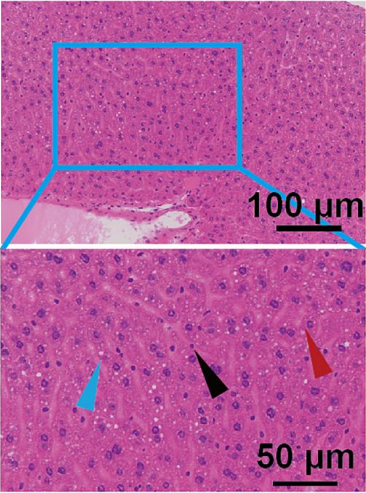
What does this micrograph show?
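Liver parenchyma with hepatocyte cords near a vessel, stained pink and purple. Many hepatocytes look pale and swollen, their cytoplasm washed out and lightly granular, so that the sinusoids between the cords appear narrow and the plates less regular. Scattered through the field are small, sharply bounded, empty round vacuoles lying within the cells. Here and there small cells with compact, dark purple nuclei sit between the hepatocytes, much smaller than them.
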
